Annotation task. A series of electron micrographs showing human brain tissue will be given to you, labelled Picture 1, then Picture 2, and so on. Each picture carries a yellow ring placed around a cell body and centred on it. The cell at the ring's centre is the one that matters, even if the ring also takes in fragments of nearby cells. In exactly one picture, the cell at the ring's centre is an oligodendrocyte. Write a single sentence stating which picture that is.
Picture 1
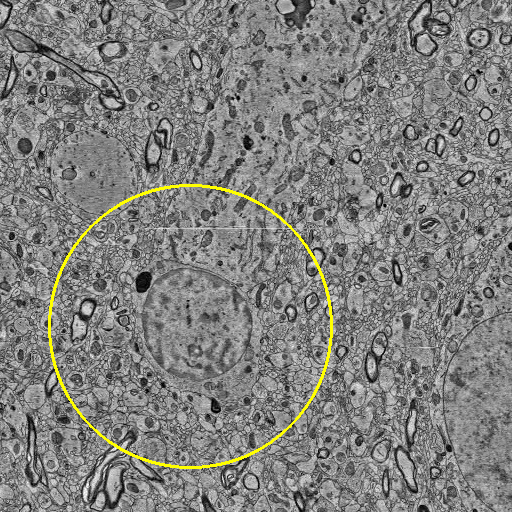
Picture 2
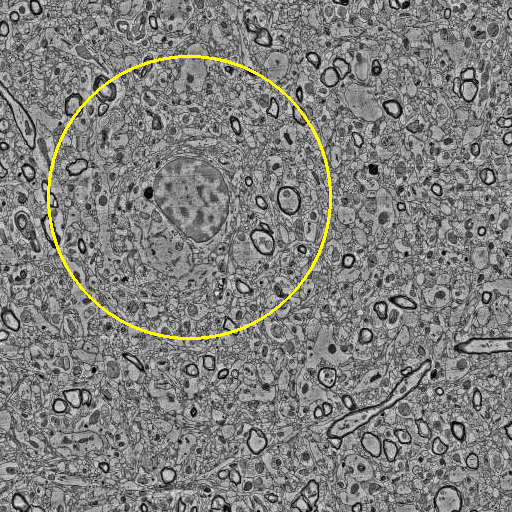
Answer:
Picture 1 holds the requested cell at the very centre of its ring.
